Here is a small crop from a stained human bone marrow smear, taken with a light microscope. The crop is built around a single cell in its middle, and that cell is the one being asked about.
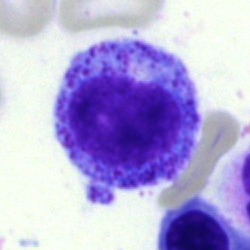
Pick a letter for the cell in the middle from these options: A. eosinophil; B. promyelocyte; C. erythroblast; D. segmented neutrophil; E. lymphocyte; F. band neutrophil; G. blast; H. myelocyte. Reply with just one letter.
H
